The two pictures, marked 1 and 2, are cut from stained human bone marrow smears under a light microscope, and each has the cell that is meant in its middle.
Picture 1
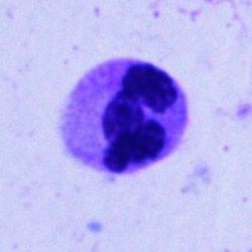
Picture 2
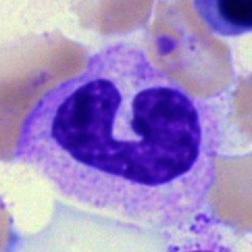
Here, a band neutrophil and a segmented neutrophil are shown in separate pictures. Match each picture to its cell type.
1: segmented neutrophil
2: band neutrophil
